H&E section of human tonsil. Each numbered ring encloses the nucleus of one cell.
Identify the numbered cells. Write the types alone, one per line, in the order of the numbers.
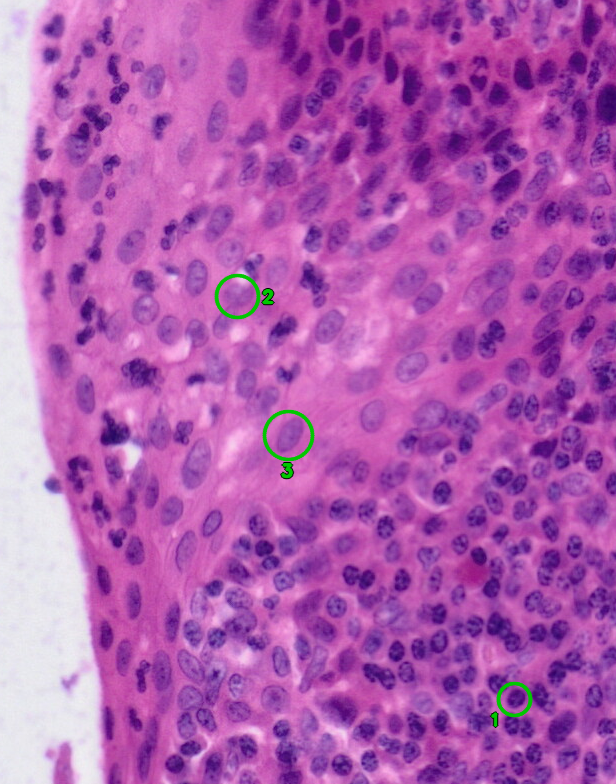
plasma cell
squamous epithelial cell
squamous epithelial cell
